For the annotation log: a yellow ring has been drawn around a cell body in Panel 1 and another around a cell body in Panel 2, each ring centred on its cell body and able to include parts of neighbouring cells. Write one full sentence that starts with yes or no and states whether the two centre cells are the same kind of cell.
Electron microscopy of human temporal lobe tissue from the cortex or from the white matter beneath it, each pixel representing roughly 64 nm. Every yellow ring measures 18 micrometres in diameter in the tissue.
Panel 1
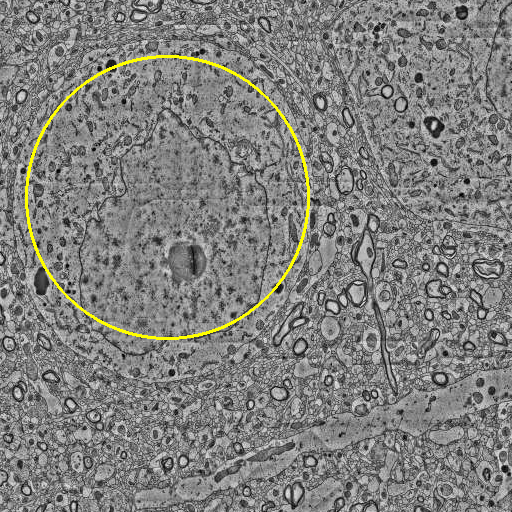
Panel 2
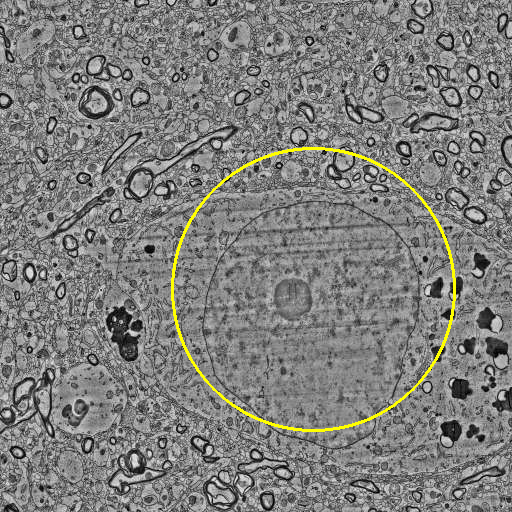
Yes, the two centre cells are the same kind of cell.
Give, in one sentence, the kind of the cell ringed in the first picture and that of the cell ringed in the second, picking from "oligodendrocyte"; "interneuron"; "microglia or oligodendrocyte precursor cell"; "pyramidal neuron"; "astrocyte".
The first and the second cell are each a pyramidal neuron.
